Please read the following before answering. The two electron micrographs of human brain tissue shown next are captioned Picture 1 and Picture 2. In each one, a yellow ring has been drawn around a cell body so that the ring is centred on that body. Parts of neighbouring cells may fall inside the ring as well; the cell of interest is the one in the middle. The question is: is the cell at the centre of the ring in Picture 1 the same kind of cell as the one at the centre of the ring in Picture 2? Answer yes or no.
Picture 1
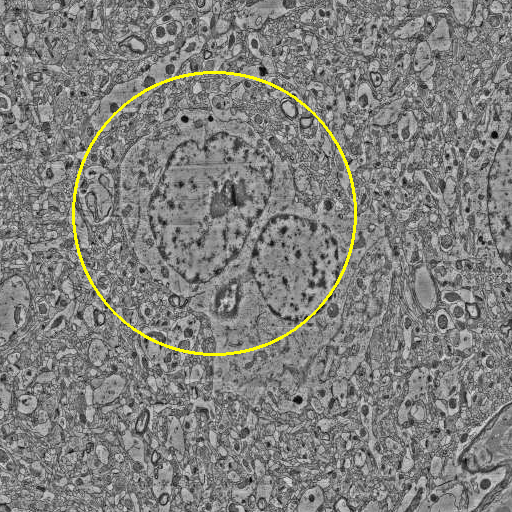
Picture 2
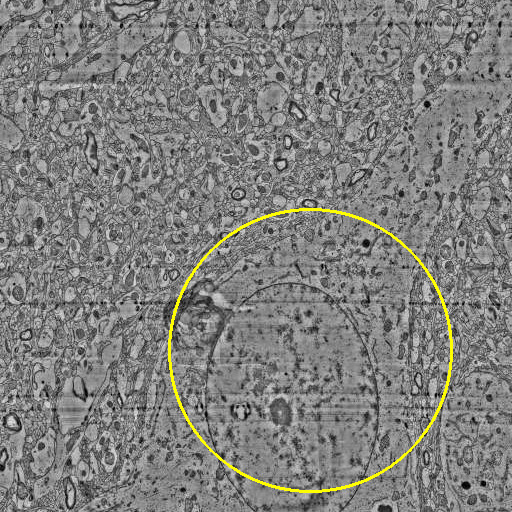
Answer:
no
